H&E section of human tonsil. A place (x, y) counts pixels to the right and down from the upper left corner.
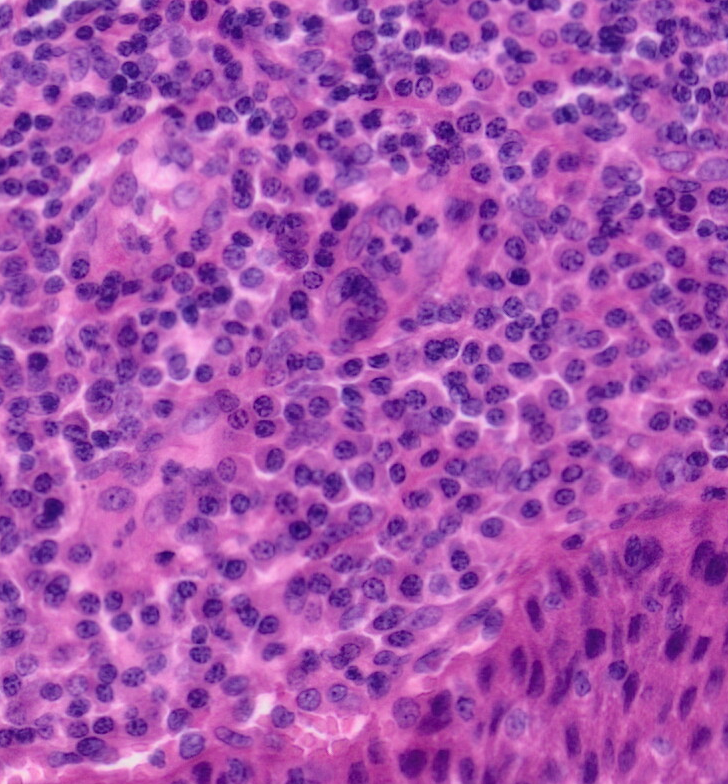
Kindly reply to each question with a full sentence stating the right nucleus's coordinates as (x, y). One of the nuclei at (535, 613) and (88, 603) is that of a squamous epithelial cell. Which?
Assigned to a squamous epithelial cell is the nucleus located at (535, 613).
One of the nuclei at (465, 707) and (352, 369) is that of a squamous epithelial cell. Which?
The cell to which the nucleus at (465, 707) belongs is a squamous epithelial cell.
